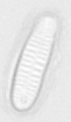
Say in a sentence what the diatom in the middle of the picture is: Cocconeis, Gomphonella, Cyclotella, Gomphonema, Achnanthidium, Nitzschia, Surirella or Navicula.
This is Achnanthidium.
